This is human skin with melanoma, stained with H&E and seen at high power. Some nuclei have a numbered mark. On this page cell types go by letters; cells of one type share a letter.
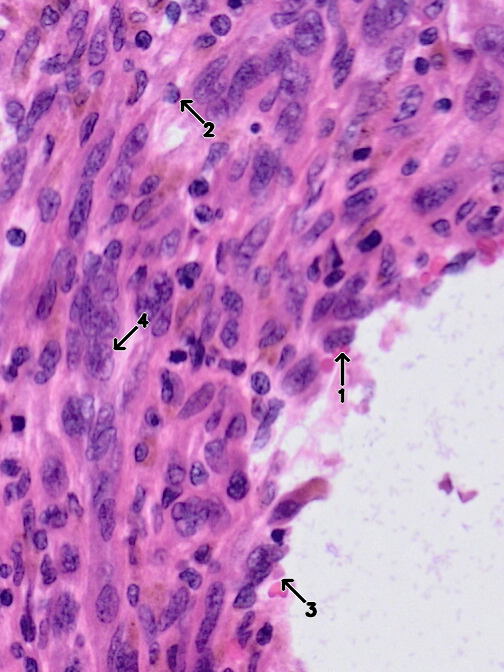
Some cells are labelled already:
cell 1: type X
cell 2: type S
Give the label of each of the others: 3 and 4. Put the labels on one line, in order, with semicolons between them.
type X; type X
